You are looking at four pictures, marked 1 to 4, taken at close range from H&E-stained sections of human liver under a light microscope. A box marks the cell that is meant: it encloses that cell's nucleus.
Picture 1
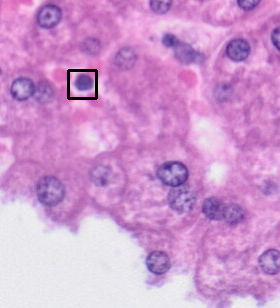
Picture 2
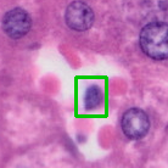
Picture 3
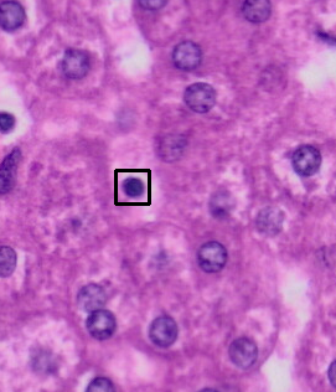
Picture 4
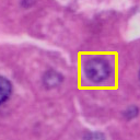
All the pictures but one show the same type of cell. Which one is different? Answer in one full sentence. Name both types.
Picture 4 is the odd one out: it shows a hepatocyte, while the others show lymphocytes.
